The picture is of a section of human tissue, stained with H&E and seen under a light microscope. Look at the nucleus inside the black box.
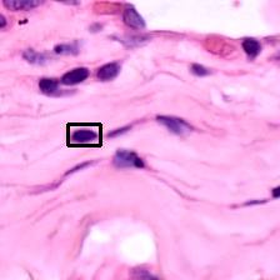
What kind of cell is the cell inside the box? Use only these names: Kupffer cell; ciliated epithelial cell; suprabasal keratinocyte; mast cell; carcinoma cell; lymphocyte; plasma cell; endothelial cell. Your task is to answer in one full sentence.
Cell type answer for this item: the cell inside the box is a mast cell.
